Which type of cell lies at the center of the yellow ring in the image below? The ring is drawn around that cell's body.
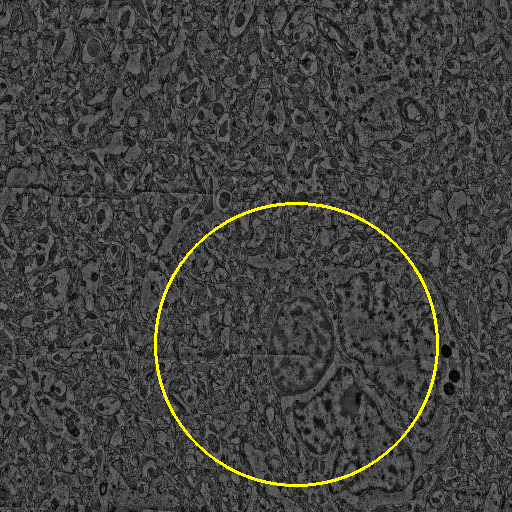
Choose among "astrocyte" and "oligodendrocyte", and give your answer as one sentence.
The cell body at the center belongs to an oligodendrocyte.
